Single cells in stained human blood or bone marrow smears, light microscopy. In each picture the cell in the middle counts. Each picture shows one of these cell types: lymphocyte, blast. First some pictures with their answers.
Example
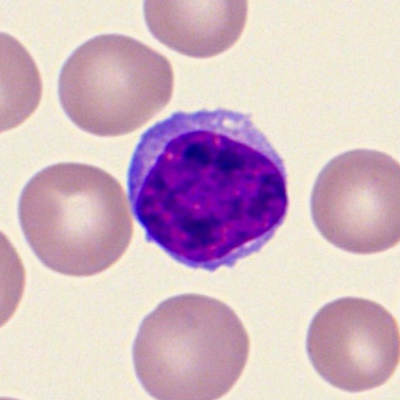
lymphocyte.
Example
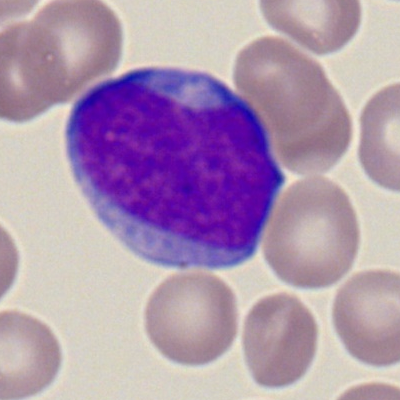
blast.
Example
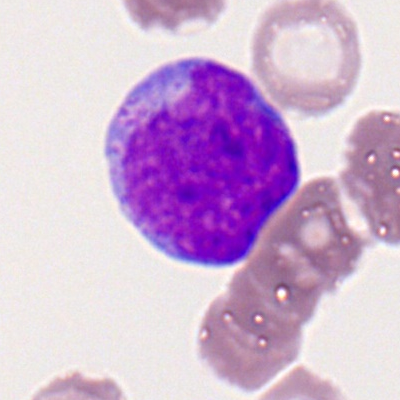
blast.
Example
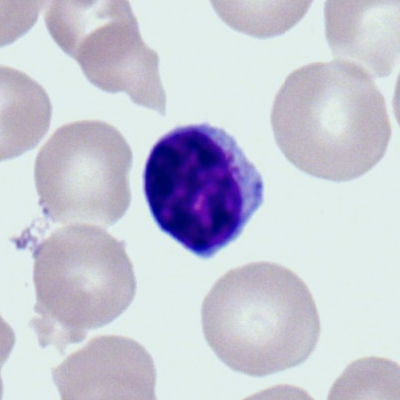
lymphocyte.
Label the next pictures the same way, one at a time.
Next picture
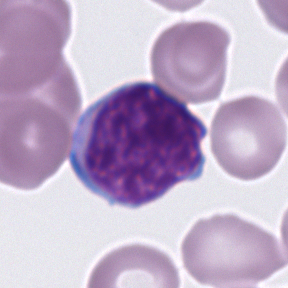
lymphocyte.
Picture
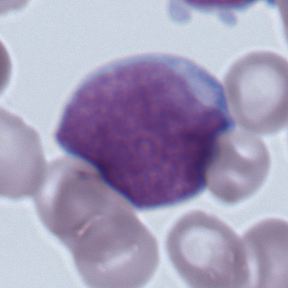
blast.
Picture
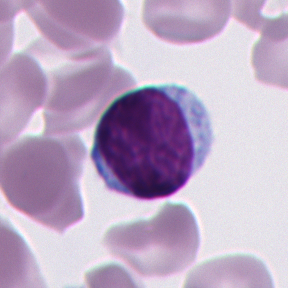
lymphocyte.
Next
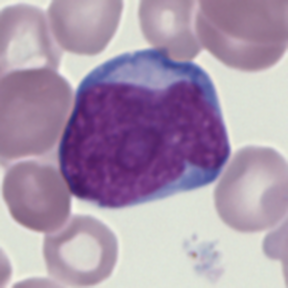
blast.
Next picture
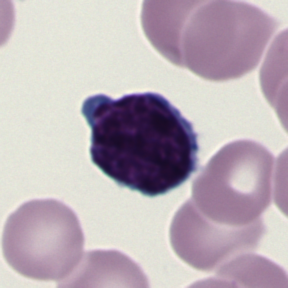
lymphocyte.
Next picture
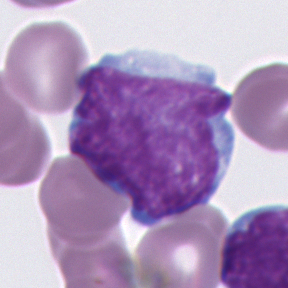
blast.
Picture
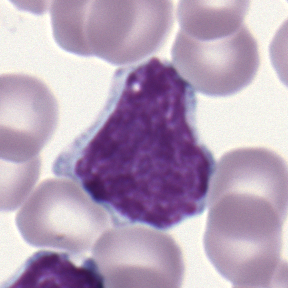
lymphocyte.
